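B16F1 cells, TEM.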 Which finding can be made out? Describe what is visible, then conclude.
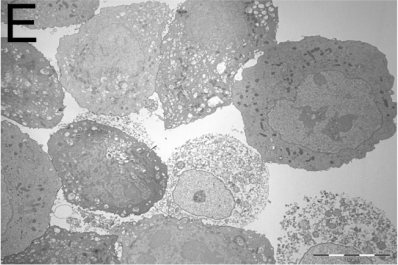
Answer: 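Several cells have cytoplasm filled with many small clear vacuoles. Some cells appear pale and disrupted next to denser intact cells. So: vacuolization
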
